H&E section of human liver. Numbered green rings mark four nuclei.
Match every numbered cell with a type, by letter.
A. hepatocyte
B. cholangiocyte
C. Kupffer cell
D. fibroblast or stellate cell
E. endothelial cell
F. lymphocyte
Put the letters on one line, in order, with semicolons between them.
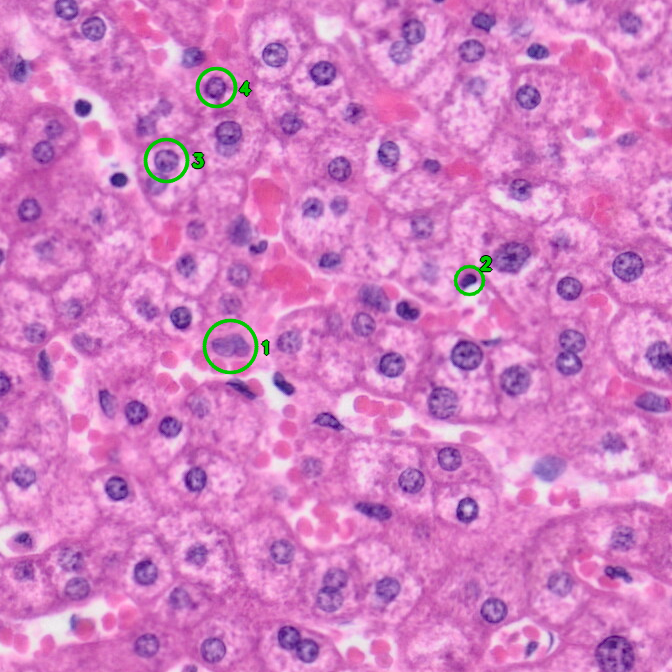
C; D; A; A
